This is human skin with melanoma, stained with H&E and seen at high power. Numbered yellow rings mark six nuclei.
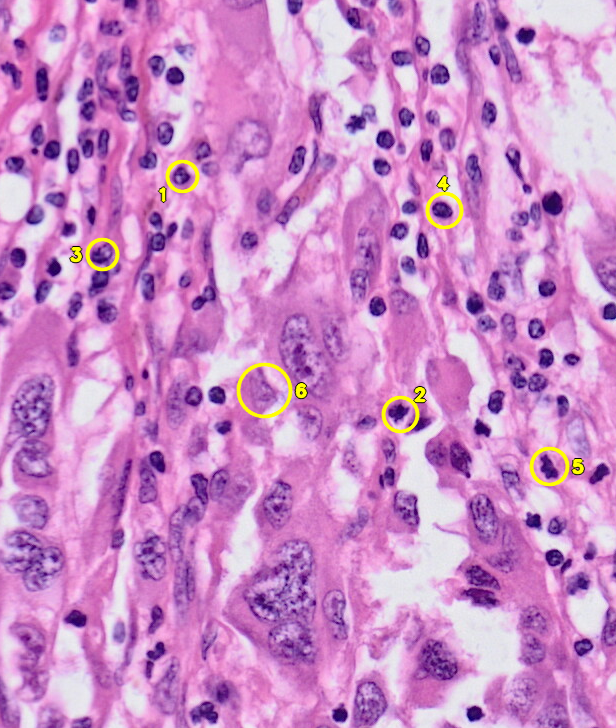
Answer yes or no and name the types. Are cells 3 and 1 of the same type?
Yes, going by number, cells 3 and 1 are both plasma cells.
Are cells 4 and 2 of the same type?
Yes, it is as lymphocytes that cells 4 and 2 are both classified.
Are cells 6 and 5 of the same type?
No, while cell 6 is a melanoma cell, cell 5 is a lymphocyte.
